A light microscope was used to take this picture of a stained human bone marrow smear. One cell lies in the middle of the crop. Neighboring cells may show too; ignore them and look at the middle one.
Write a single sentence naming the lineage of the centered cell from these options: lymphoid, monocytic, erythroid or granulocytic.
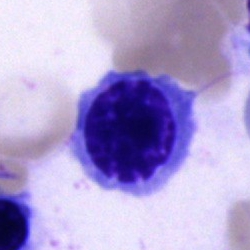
Lineage designation for the cell in the middle reads erythroid.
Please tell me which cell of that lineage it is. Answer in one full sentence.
As for the cell in the middle, it is an erythroblast.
